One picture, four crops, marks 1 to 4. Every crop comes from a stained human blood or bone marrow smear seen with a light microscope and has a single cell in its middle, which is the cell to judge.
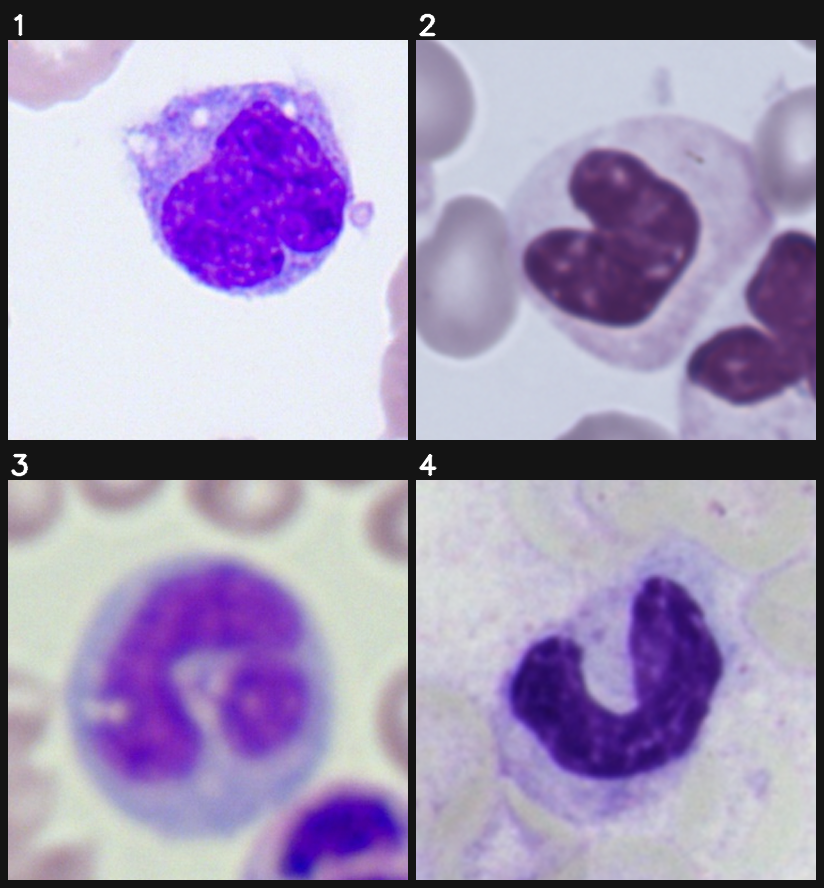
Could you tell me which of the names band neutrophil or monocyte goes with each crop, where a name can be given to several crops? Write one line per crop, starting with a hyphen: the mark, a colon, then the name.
- 1: monocyte
- 2: band neutrophil
- 3: monocyte
- 4: band neutrophil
